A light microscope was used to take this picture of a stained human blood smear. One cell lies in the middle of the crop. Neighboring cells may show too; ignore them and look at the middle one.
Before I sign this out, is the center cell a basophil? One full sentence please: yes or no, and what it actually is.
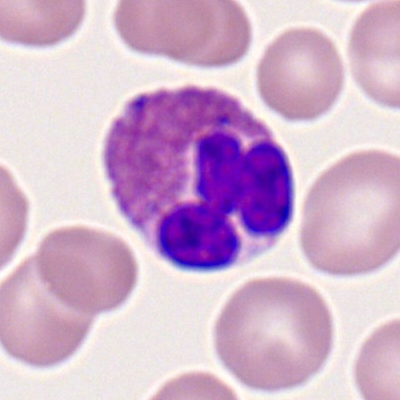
No, this one is an eosinophil; it is not a basophil.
